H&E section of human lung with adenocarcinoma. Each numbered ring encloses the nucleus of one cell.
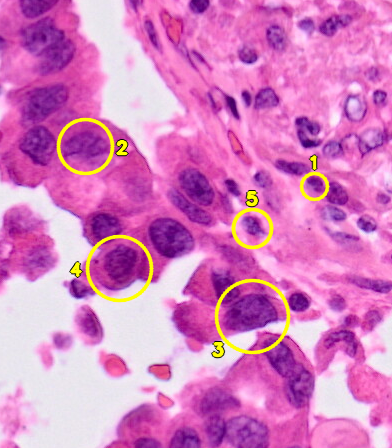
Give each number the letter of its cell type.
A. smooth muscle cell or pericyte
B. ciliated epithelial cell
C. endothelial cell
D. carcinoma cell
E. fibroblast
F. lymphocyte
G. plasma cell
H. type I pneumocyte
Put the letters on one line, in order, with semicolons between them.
G; D; D; D; F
